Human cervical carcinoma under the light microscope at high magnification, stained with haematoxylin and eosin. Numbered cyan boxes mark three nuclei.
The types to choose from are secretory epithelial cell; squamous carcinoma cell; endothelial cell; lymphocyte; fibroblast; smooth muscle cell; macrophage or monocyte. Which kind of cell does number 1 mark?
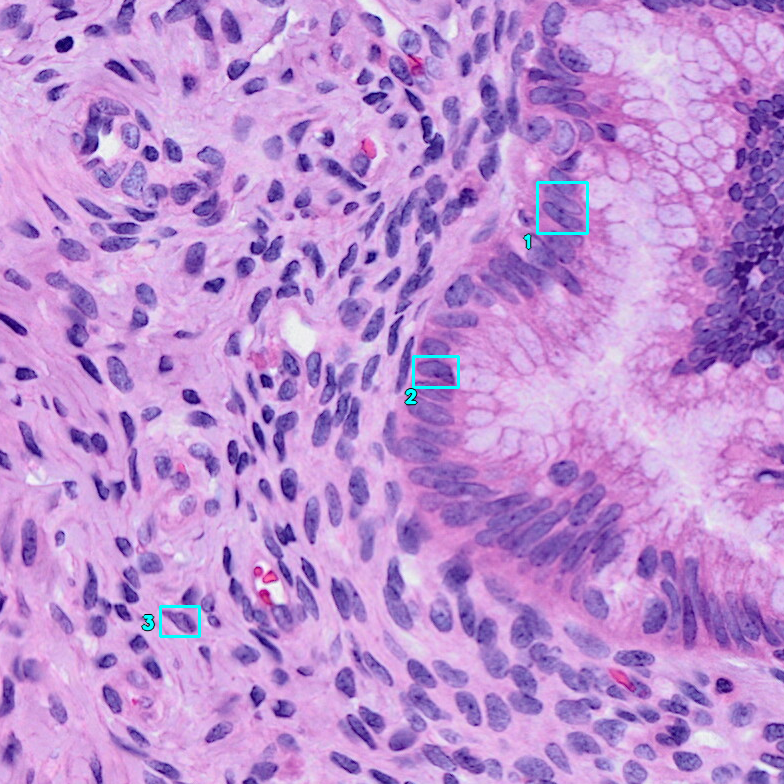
secretory epithelial cell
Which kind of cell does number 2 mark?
secretory epithelial cell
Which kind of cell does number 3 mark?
fibroblast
